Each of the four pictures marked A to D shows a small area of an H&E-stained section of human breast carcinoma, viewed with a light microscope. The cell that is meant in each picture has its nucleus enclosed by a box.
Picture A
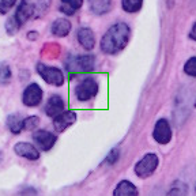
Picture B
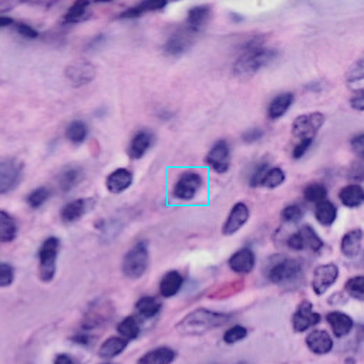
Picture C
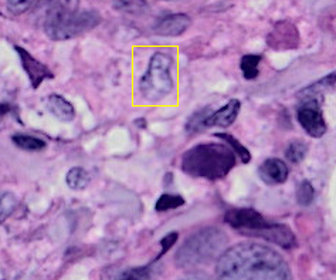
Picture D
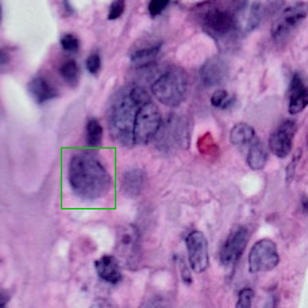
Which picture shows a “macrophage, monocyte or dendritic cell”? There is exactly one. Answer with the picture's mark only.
C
